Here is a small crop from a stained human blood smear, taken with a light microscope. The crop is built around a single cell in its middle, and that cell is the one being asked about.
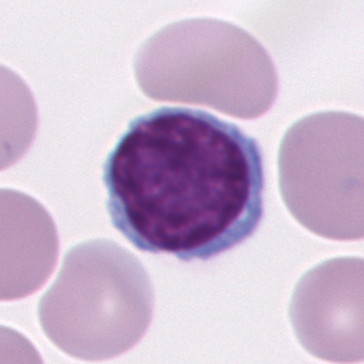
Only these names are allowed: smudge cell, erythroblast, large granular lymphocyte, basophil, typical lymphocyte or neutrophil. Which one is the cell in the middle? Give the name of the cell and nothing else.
typical lymphocyte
